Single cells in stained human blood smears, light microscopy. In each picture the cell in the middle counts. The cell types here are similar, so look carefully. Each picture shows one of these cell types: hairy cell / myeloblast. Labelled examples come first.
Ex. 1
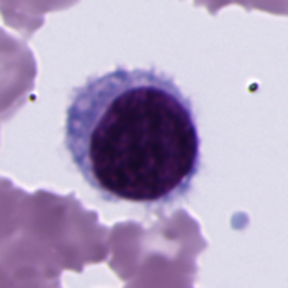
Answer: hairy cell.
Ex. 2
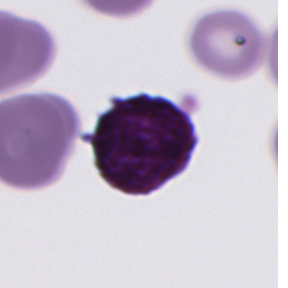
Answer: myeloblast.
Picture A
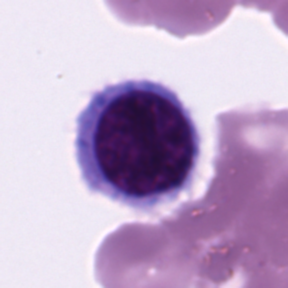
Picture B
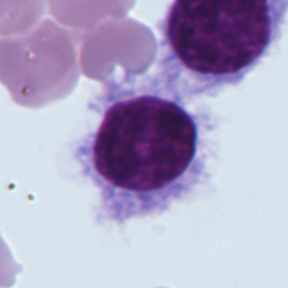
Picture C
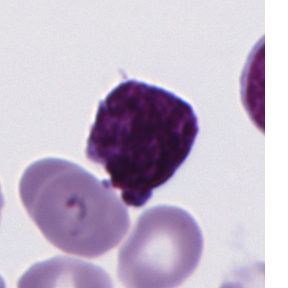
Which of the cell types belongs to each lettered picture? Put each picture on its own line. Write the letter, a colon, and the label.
A: hairy cell.
B: hairy cell.
C: myeloblast.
